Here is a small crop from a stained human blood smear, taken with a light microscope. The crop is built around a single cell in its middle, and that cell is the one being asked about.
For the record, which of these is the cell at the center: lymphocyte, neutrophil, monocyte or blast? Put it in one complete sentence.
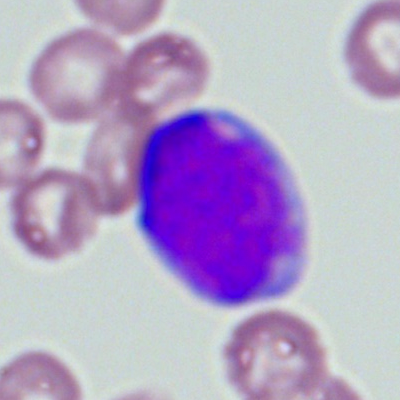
The cell at the middle of the crop is recognized as a blast.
